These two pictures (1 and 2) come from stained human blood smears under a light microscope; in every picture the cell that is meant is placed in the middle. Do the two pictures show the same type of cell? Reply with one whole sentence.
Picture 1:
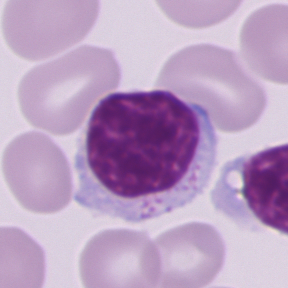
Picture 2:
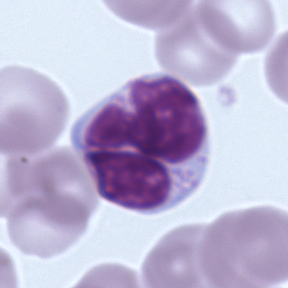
Yes; the cells in both pictures are large granular lymphocytes.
